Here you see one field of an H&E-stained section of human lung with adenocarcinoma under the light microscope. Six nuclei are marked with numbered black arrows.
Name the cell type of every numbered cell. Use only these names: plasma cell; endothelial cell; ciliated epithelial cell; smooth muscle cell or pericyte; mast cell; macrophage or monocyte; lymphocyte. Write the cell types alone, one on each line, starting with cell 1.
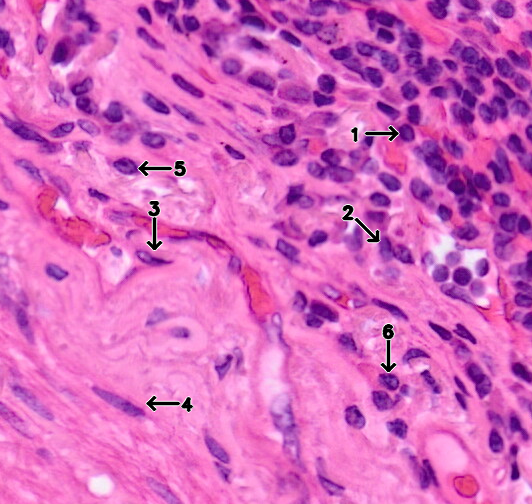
lymphocyte
plasma cell
endothelial cell
smooth muscle cell or pericyte
plasma cell
mast cell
